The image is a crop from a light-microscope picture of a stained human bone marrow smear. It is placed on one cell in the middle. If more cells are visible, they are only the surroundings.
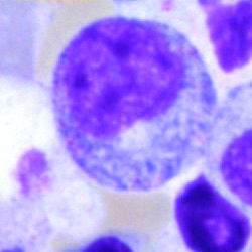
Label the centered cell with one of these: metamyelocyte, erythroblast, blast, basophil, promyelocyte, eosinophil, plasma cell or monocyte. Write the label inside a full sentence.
In the crop, the cell of interest at the centre is a promyelocyte.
